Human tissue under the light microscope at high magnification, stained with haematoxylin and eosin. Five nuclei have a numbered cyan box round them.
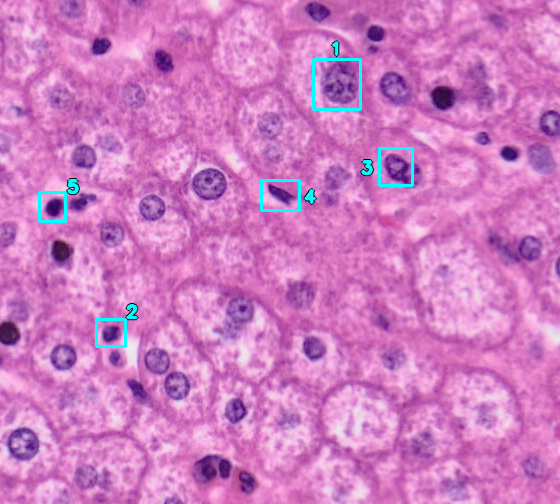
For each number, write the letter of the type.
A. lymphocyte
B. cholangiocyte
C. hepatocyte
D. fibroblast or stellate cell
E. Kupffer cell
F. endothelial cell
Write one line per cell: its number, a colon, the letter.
1: C
2: A
3: C
4: F
5: A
